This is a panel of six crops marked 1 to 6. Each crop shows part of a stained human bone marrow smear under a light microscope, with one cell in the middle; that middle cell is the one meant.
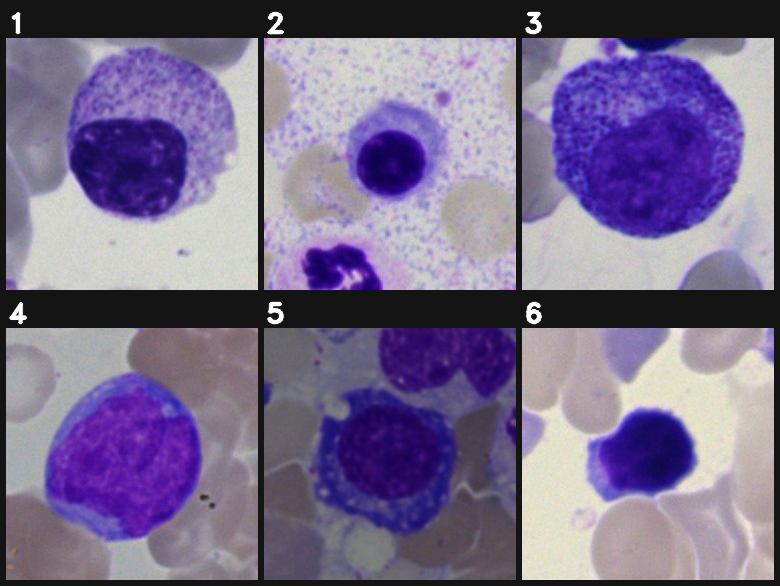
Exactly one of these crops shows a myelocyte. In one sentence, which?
Crop 1 is the crop that shows a myelocyte in its middle.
